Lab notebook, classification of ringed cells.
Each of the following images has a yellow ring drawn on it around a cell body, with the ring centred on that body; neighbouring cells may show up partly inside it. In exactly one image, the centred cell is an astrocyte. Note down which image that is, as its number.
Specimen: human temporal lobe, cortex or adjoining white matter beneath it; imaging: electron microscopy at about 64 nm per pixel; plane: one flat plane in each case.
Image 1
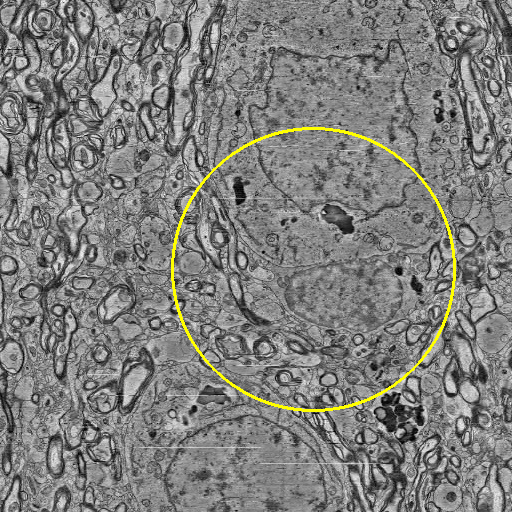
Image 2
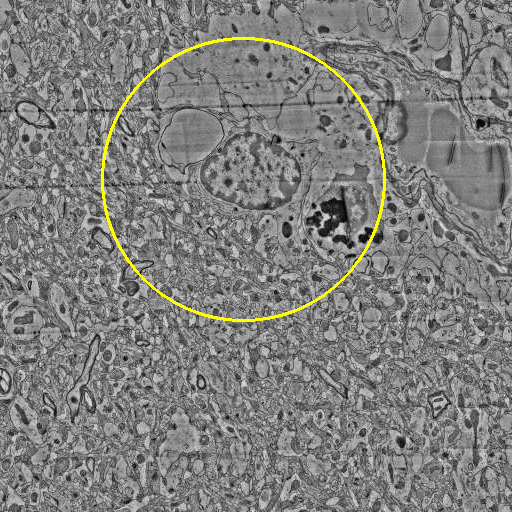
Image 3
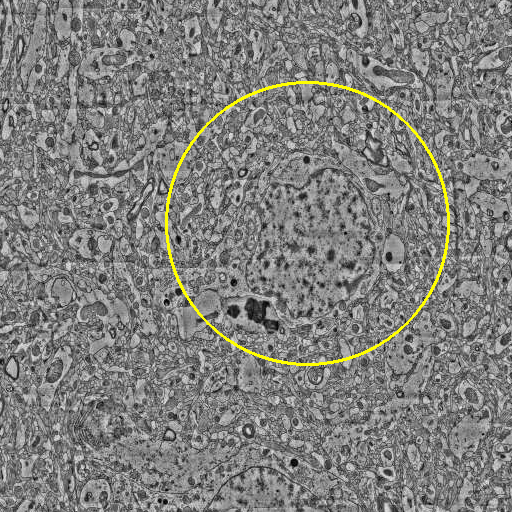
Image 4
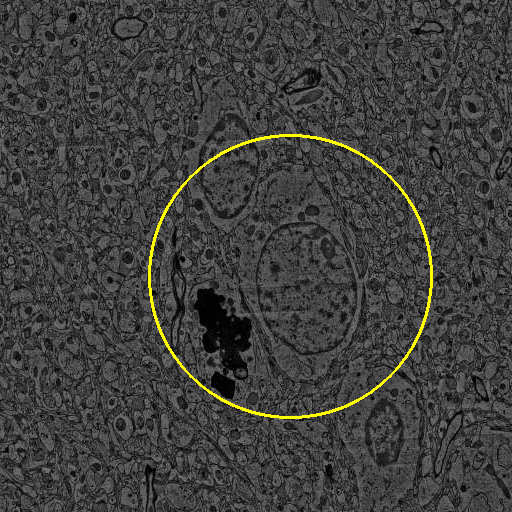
4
